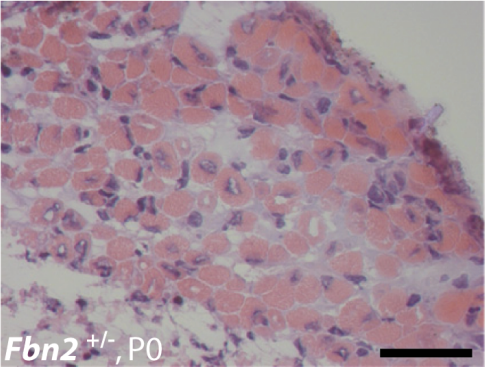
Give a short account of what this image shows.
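This is skeletal muscle cut in cross section, showing many pink, rounded to polygonal myofibers separated by thin pale spaces. Purple nuclei sit at the edges of fibers and in the spaces between them, and a number of fibers appear to hold a nucleus inside the pink profile.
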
